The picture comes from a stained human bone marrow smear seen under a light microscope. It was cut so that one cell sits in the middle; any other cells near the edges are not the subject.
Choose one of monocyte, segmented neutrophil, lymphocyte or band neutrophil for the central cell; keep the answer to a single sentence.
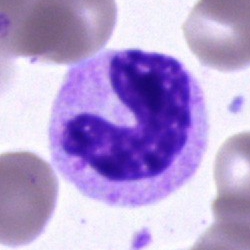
The identification for the central cell is a band neutrophil.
